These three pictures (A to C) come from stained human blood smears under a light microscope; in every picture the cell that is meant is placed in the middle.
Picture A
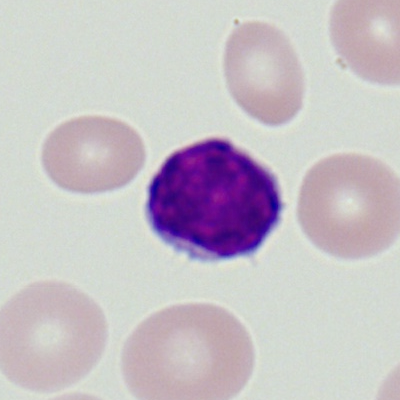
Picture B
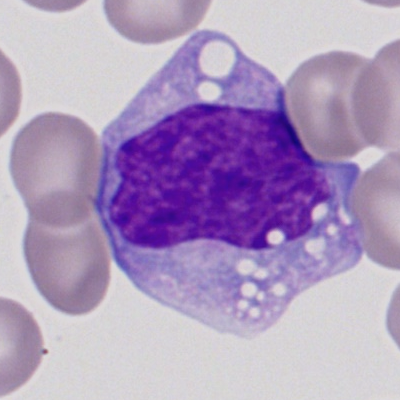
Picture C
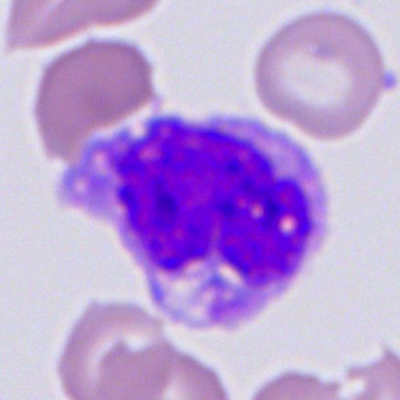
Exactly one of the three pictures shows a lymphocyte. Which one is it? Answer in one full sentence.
The lymphocyte is the one in picture A.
